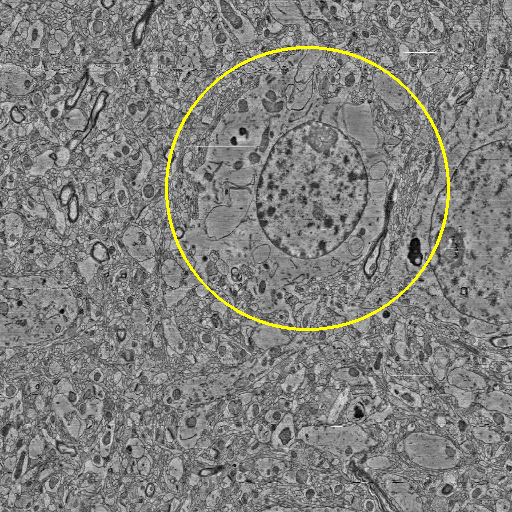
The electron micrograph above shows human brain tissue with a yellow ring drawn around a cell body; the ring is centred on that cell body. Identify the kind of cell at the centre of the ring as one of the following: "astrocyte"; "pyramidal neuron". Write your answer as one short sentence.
The cell at the centre of the ring is an astrocyte.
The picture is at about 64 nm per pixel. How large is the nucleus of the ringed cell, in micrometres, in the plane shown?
Approximately 9 by 7 micrometers in this plane.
